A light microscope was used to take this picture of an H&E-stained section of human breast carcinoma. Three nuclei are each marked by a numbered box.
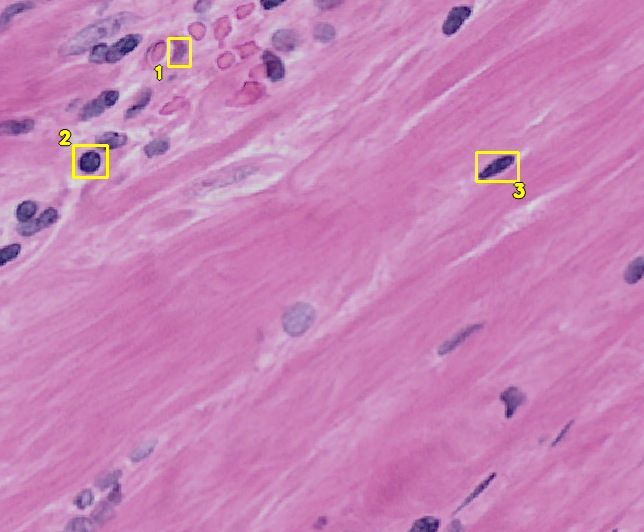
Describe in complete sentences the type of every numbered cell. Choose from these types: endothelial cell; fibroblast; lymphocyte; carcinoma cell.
Cell 1 is an endothelial cell, cell 2 is a lymphocyte and cell 3 is a lymphocyte.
